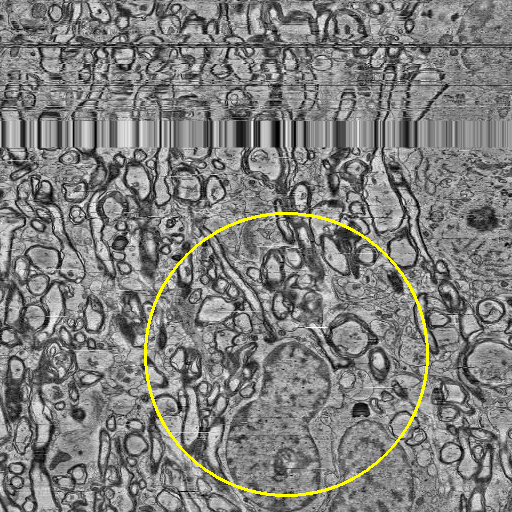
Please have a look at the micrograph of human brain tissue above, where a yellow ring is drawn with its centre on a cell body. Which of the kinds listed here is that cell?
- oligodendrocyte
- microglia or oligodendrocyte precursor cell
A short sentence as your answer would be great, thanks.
At the centre of the ring sits a microglial cell or oligodendrocyte precursor cell.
